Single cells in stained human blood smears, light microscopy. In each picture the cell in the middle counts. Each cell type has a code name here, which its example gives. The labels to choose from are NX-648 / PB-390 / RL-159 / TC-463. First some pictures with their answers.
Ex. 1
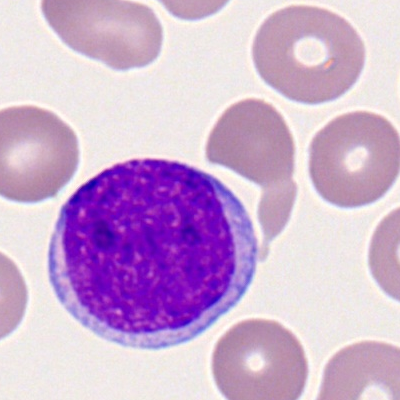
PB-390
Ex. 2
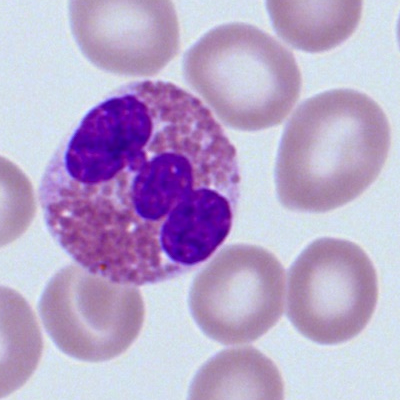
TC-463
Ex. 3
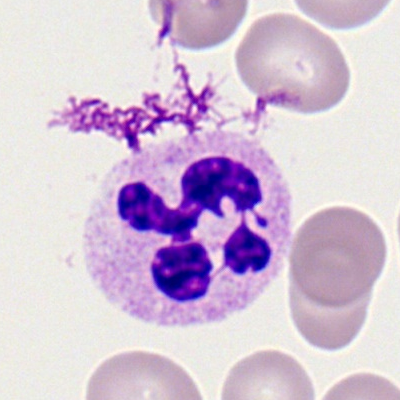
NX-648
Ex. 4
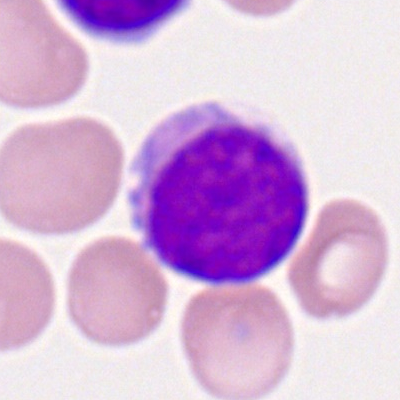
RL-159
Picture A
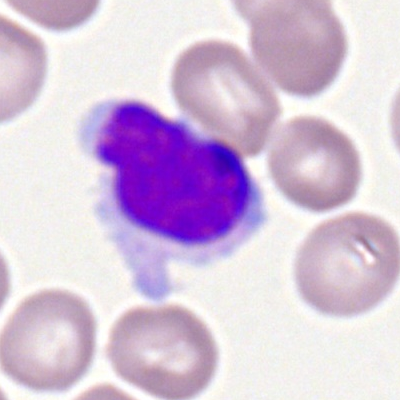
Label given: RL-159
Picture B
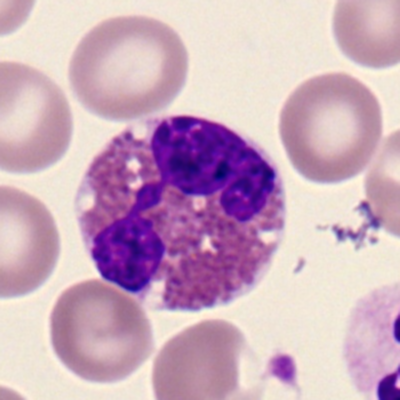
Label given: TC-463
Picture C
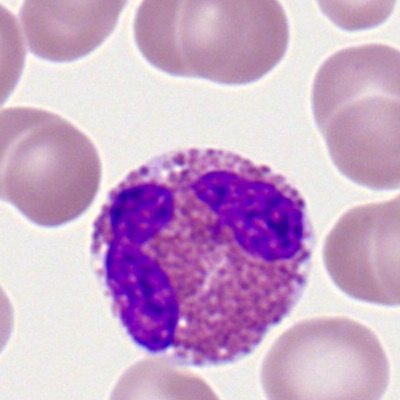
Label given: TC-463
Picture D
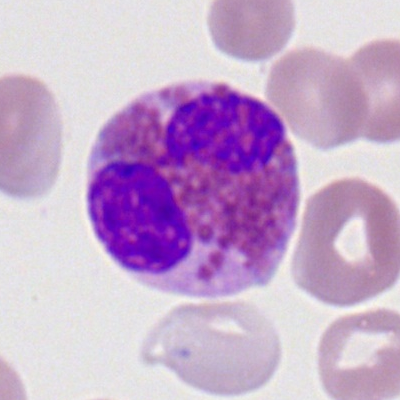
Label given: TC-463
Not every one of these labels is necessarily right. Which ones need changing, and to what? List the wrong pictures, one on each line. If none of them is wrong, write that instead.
All correct.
